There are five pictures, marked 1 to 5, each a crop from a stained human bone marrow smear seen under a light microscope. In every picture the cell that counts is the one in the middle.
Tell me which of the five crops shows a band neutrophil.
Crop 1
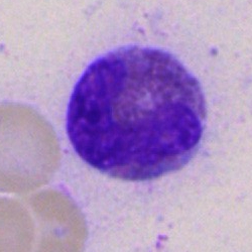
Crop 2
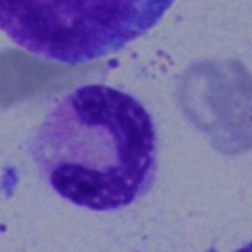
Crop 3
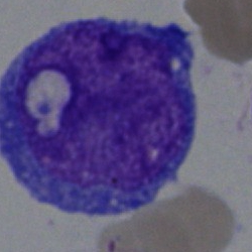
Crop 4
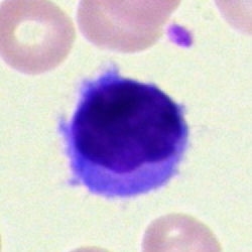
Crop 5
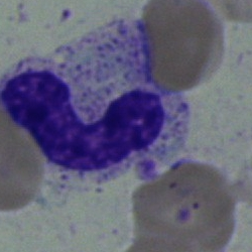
5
